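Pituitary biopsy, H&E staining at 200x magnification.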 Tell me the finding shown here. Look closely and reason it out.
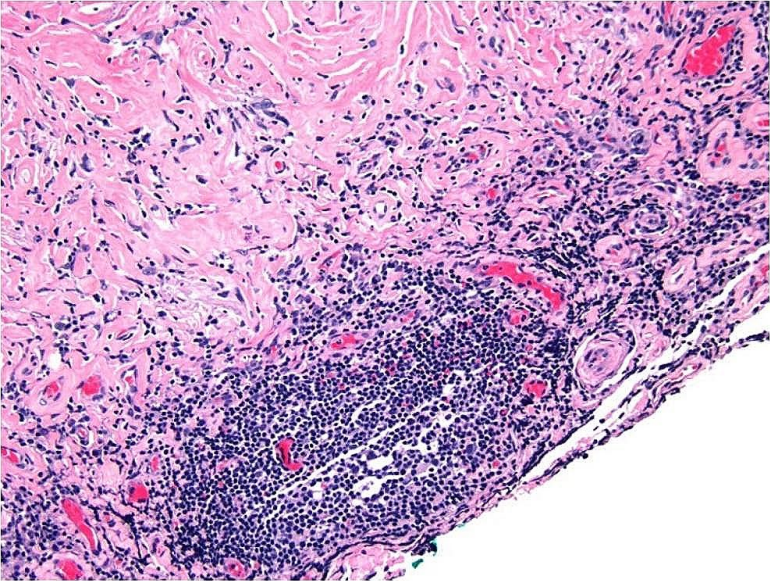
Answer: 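Dense reactive fibrosis. Broad areas of pale pink, wavy collagen bundles fill the upper left of the field. Spindle-shaped nuclei are scattered sparsely between the collagen bundles.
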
